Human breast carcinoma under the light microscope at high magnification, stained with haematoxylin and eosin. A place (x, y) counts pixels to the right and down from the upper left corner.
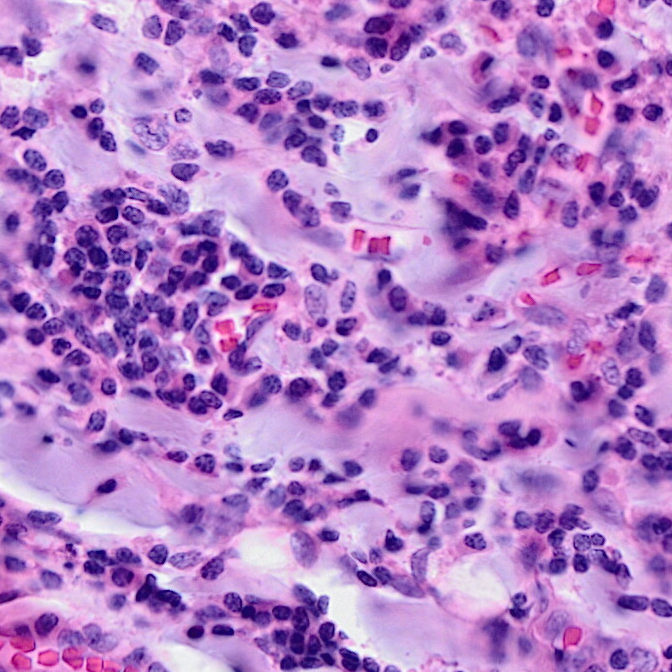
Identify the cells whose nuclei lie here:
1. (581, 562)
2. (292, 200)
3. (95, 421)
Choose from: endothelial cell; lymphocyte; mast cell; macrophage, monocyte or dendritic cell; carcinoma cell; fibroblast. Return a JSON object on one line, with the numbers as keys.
{"1": "lymphocyte", "2": "lymphocyte", "3": "mast cell"}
